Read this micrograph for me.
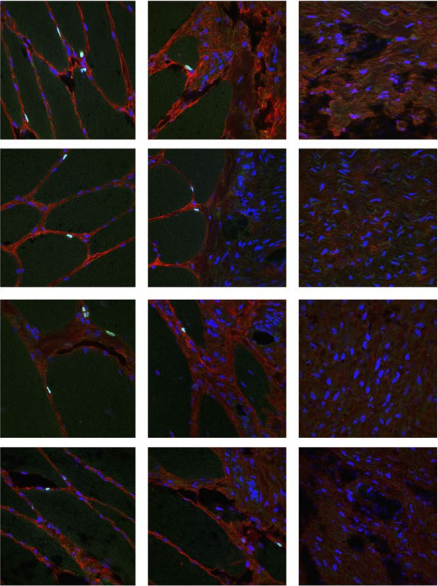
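Skeletal muscle in three fields per row. In the left fields, large dark muscle fiber profiles are outlined by red, with small blue nuclei along their edges; a few of these peripheral nuclei are bright green-white. In the middle fields, fibers border on disordered tissue that is red throughout and crowded with blue nuclei. In the right fields, no fibers are seen: the field is filled by irregular reddish tissue containing many scattered, mostly elongated blue nuclei, with no bright green nuclei.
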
